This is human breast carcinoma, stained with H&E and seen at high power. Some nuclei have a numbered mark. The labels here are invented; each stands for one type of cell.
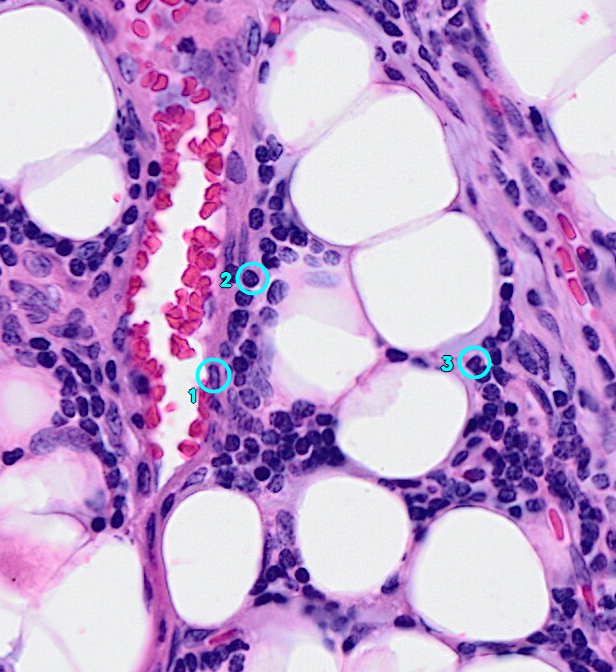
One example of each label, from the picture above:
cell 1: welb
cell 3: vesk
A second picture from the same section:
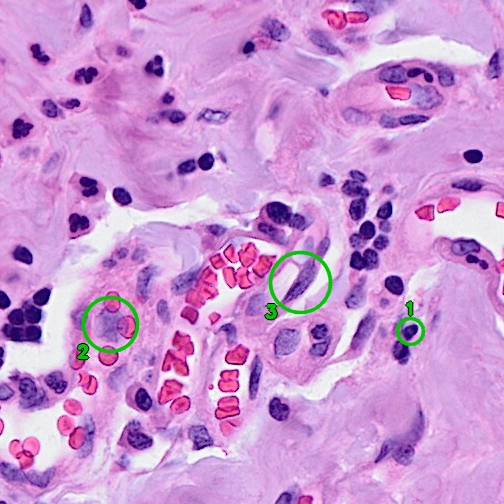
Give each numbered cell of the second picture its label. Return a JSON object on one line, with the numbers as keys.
{"1": "vesk", "2": "welb", "3": "welb"}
